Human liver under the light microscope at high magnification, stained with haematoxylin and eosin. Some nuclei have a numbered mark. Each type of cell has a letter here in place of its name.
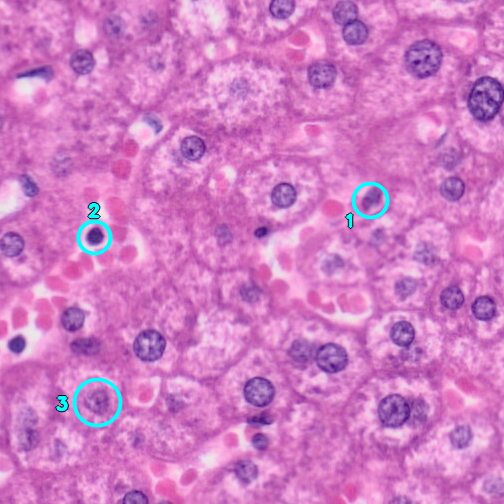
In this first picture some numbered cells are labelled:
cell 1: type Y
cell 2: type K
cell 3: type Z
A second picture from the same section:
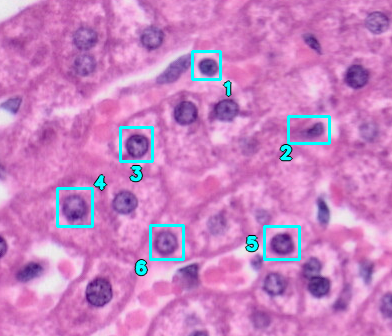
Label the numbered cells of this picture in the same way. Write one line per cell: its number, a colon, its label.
1: type K
2: type Y
3: type Z
4: type Z
5: type Z
6: type Z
